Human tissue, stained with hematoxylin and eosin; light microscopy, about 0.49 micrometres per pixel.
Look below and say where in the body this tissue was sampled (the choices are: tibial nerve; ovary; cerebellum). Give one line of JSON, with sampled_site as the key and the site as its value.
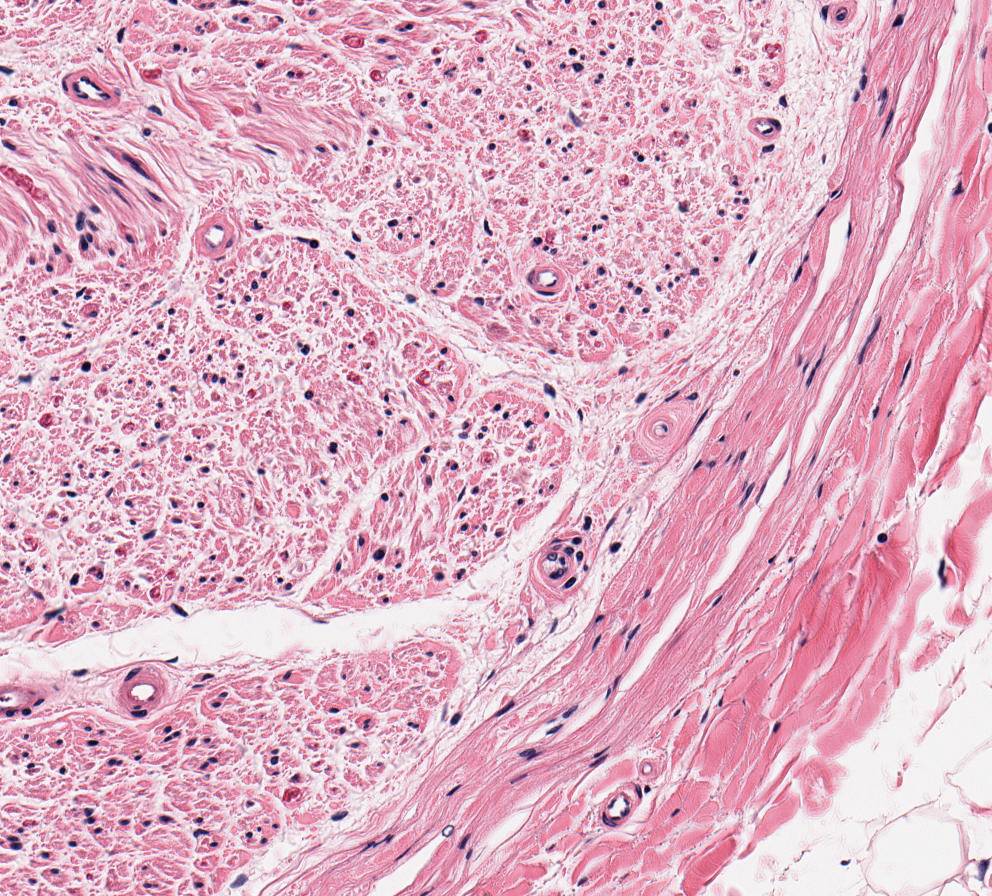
{"sampled_site": "tibial nerve"}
